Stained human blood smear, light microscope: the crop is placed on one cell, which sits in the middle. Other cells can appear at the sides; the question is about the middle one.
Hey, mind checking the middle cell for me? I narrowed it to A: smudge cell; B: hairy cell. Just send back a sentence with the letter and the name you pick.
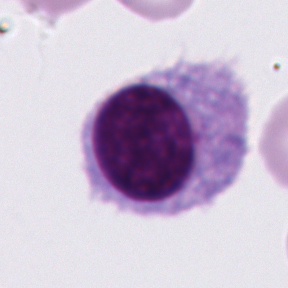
At the centre of the crop lies a hairy cell, which makes option B correct.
